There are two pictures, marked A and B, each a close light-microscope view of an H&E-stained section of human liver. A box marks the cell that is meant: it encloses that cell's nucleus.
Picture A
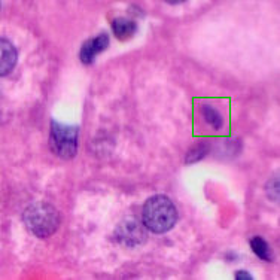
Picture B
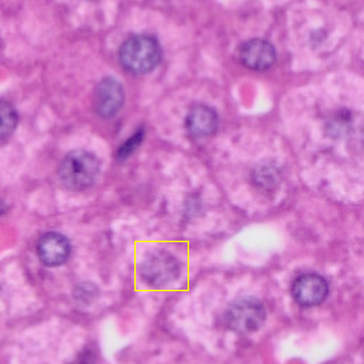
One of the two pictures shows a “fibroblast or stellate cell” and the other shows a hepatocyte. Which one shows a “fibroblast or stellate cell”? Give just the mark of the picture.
A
